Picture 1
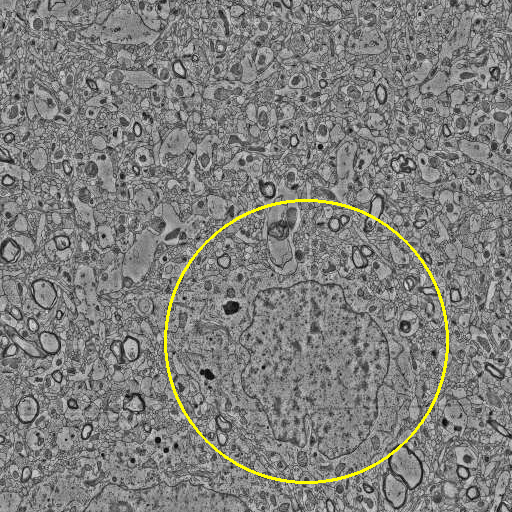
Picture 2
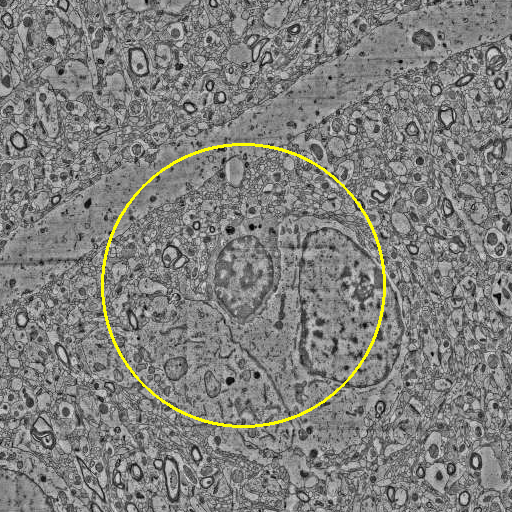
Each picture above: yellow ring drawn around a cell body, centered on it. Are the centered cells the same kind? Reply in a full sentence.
No, the two cells are two kinds of cell.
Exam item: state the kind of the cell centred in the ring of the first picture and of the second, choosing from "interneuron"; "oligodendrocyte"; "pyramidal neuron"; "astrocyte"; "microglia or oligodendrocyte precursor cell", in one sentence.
The first picture shows a pyramidal neuron at the ring centre and the second shows an oligodendrocyte.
